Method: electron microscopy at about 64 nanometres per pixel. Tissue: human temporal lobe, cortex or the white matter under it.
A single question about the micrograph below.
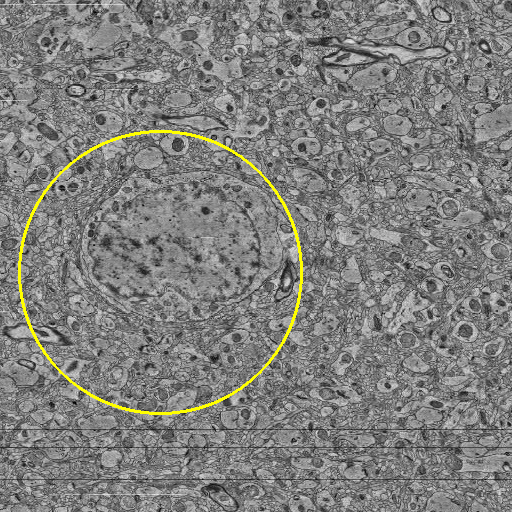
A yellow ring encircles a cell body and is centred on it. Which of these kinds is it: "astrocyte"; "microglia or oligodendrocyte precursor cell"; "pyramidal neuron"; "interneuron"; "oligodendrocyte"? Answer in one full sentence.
The cell body at the centre of the yellow ring belongs to an interneuron.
